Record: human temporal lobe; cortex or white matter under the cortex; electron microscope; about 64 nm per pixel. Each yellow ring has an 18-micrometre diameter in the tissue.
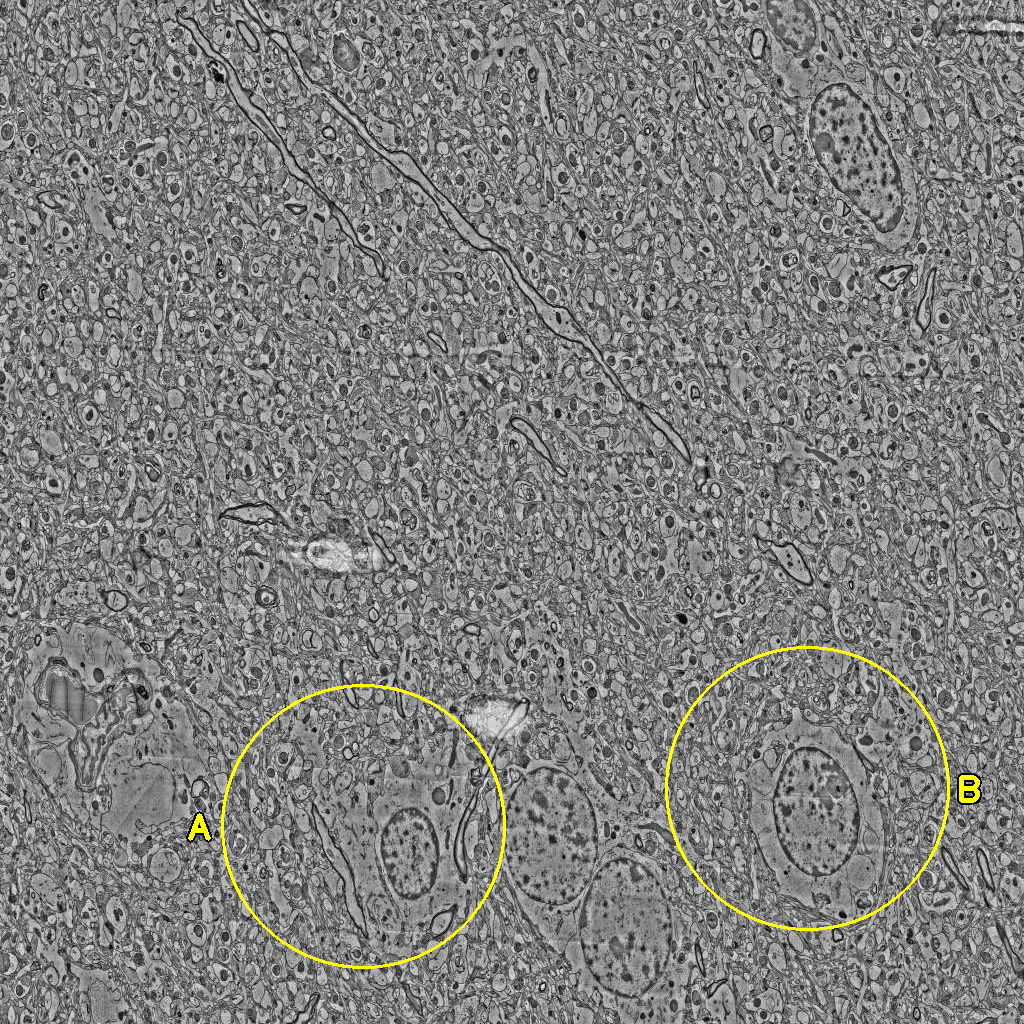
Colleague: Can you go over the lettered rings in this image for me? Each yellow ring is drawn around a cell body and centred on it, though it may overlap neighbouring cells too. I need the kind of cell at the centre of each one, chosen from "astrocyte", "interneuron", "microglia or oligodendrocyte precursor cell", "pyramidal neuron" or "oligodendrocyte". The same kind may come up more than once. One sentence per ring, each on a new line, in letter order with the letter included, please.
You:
Ring A marks the cell body of an astrocyte.
Ring B marks the cell body of an astrocyte.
